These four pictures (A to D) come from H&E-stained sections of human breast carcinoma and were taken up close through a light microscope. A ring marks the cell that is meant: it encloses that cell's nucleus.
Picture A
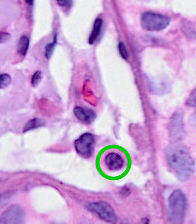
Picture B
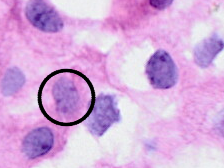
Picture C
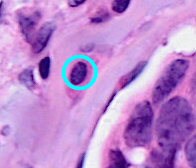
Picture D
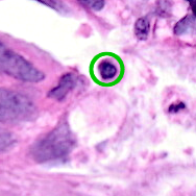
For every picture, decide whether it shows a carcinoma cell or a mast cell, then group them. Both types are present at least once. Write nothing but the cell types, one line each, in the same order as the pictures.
mast cell
carcinoma cell
mast cell
mast cell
